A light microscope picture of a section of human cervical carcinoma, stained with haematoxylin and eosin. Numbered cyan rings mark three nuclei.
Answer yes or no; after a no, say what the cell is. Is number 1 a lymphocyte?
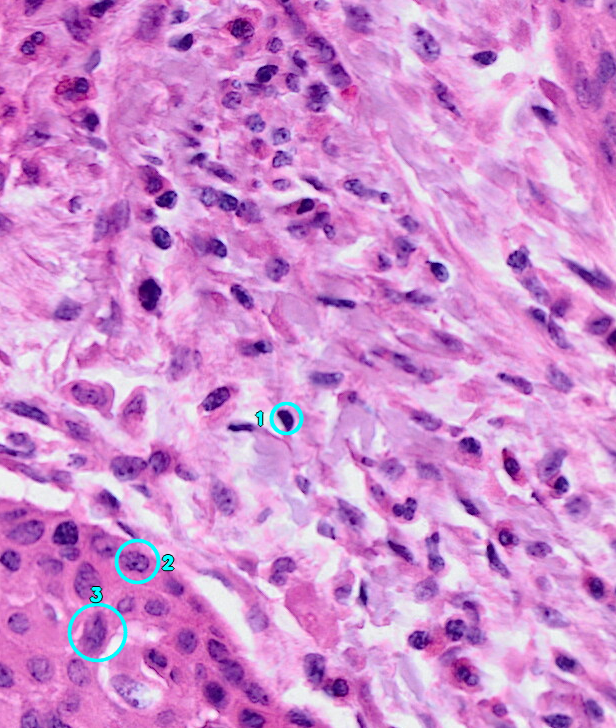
Yes.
